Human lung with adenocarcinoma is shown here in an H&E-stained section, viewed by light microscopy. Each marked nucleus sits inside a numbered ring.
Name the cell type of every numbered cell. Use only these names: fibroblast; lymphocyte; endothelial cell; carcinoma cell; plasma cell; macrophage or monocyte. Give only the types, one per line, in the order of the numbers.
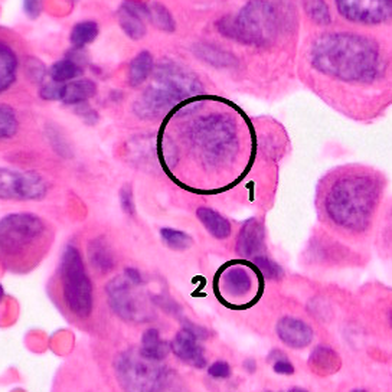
carcinoma cell
lymphocyte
